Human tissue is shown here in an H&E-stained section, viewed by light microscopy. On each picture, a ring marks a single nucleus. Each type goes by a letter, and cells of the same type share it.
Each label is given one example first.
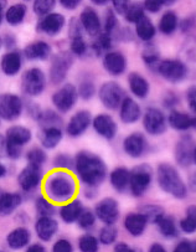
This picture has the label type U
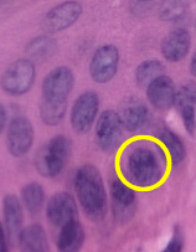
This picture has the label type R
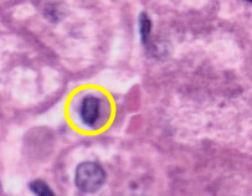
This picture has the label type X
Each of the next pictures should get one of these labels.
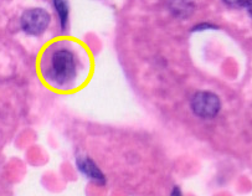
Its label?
type X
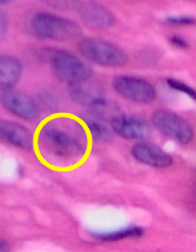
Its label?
type R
